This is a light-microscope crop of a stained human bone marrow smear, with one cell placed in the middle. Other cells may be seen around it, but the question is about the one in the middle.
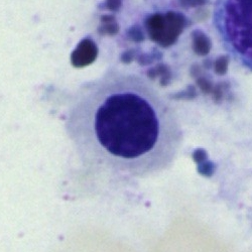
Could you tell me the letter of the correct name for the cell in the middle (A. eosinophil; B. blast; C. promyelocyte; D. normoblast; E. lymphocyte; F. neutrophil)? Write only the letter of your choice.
D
